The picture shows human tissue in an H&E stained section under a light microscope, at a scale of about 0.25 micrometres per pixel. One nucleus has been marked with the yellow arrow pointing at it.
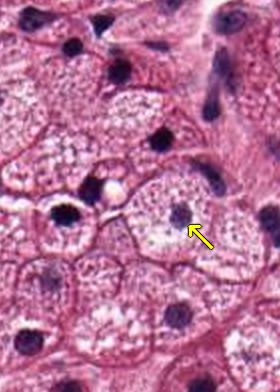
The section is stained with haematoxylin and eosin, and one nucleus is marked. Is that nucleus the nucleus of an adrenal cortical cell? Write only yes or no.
yes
